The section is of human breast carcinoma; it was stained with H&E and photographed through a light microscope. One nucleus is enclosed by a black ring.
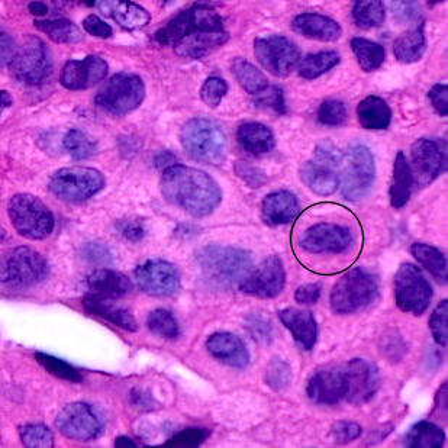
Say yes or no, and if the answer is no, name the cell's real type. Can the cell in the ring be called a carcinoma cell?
Yes.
